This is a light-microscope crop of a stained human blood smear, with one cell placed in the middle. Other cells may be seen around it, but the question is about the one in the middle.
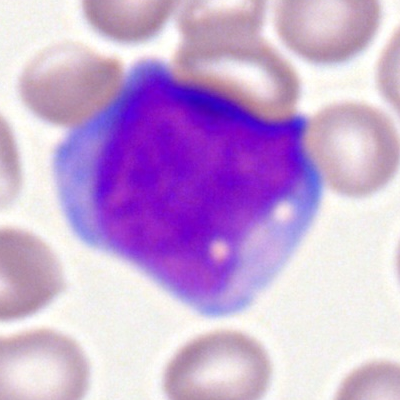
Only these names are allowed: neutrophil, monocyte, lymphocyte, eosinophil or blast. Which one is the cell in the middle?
blast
